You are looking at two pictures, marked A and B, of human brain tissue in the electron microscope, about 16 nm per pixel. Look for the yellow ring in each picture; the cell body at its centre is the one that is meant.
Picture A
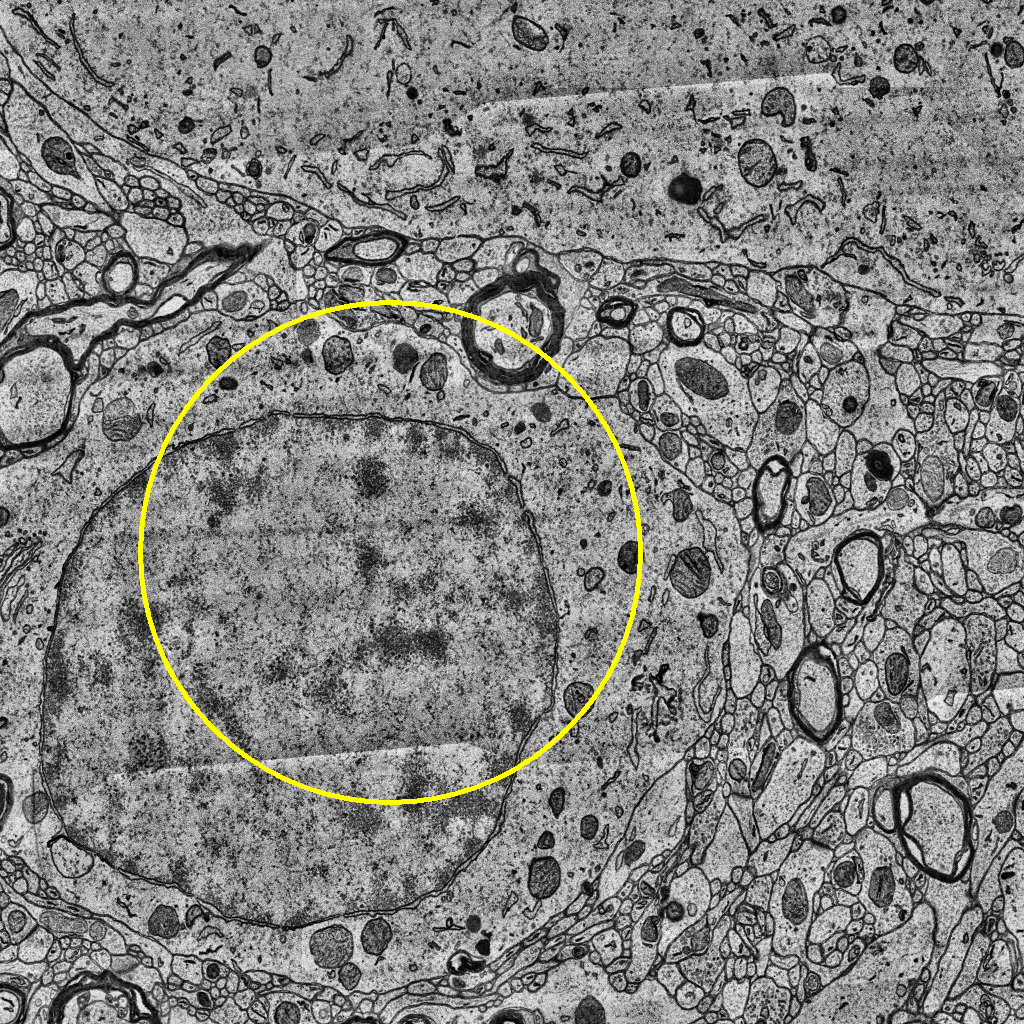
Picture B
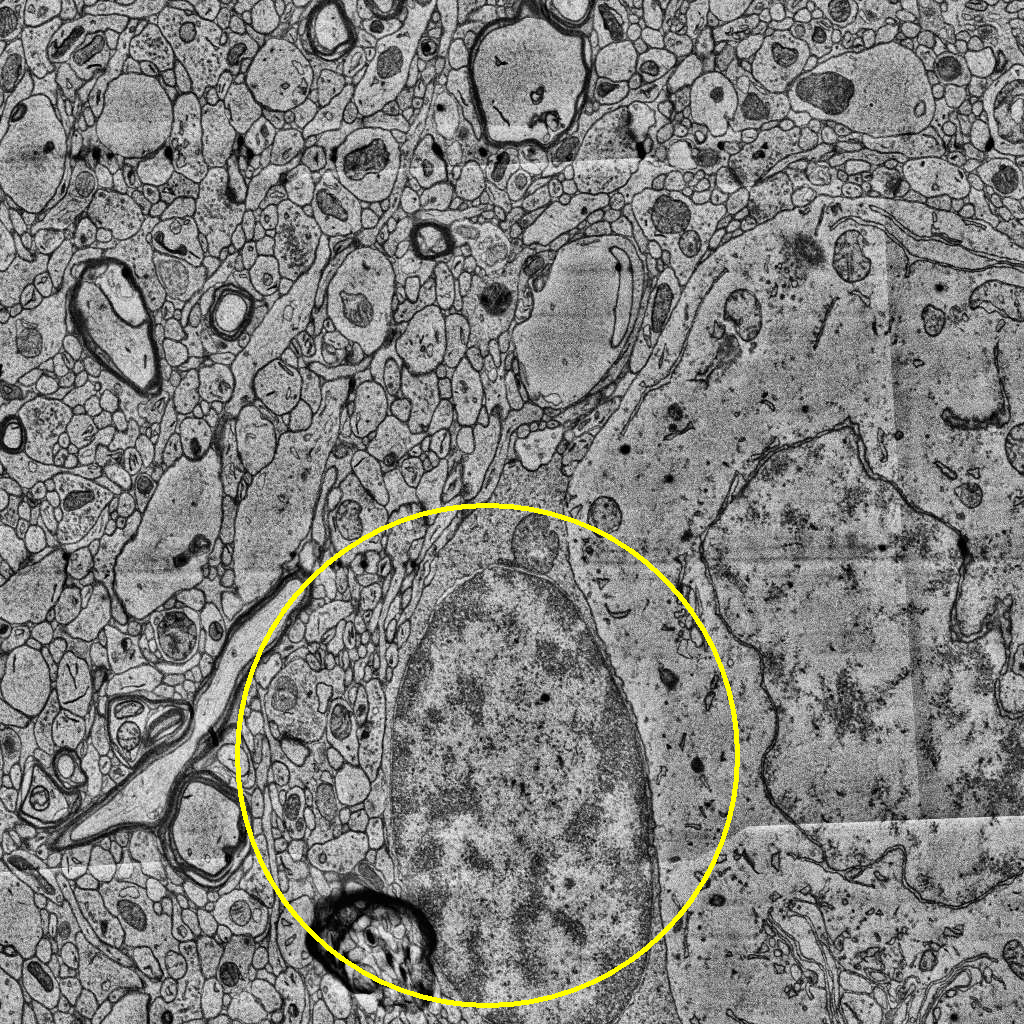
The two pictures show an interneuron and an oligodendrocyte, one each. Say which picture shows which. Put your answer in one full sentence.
The cell in picture A is an interneuron, and the one in picture B is an oligodendrocyte.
